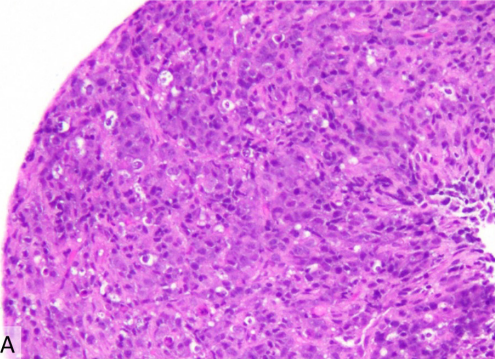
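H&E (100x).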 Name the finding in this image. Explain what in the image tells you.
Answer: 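Sheets of cells with nuclei varying in size and shape. Cells lie closely packed without normal architecture. On this evidence: pleomorphic cells.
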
